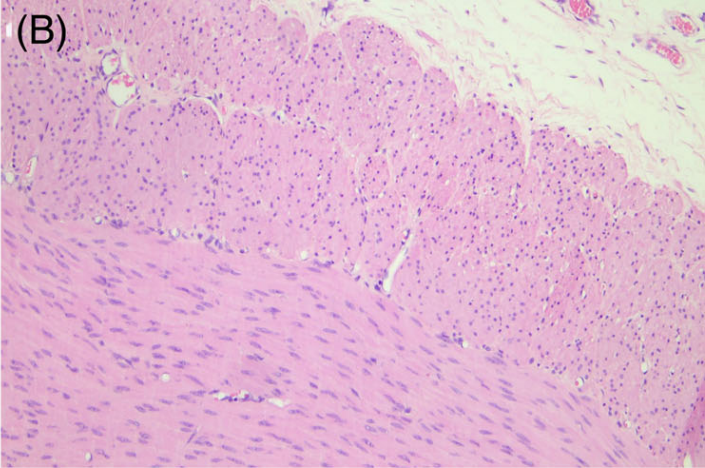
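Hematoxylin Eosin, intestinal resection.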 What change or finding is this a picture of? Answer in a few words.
Aganglionosis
